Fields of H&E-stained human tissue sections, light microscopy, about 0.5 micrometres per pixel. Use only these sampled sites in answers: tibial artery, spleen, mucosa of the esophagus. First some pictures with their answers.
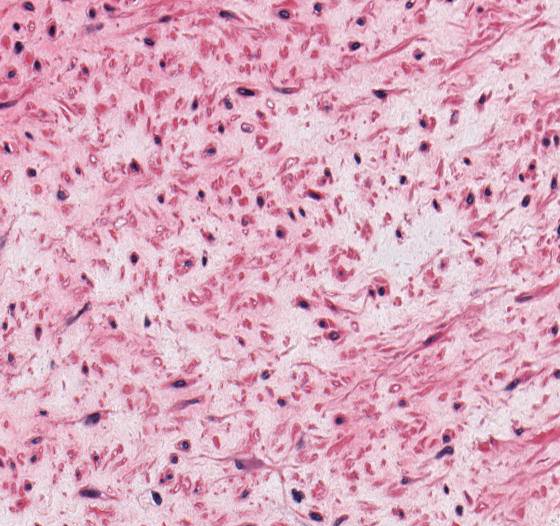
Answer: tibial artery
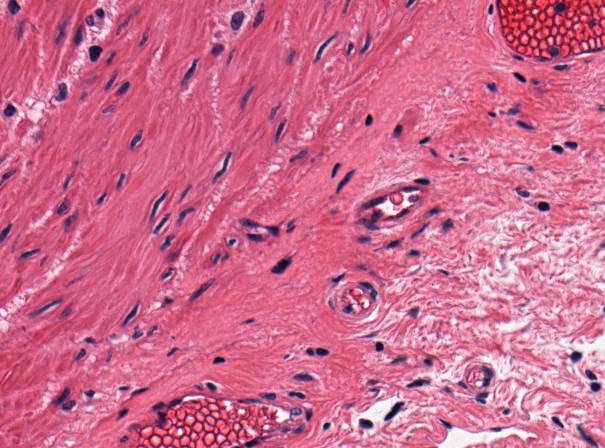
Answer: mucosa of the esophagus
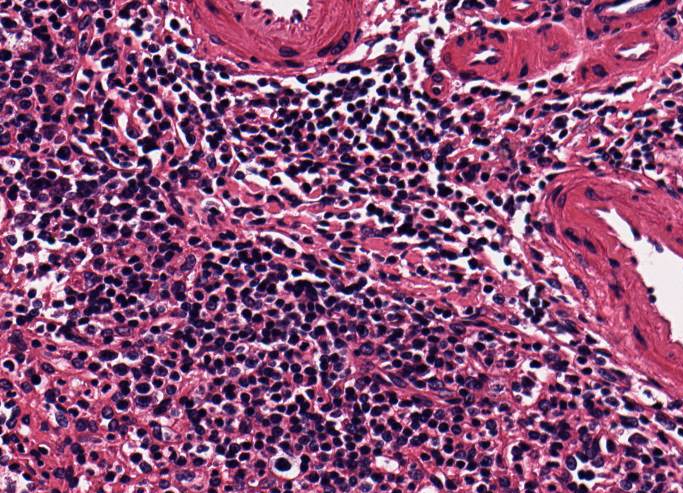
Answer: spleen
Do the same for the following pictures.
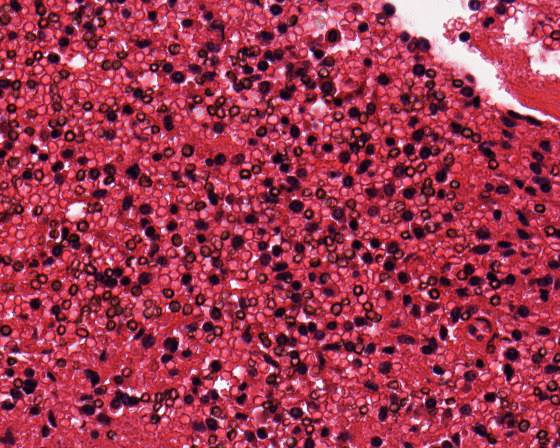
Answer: spleen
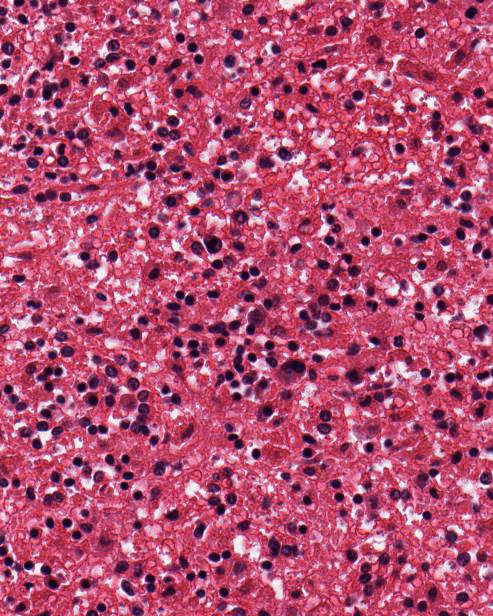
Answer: spleen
